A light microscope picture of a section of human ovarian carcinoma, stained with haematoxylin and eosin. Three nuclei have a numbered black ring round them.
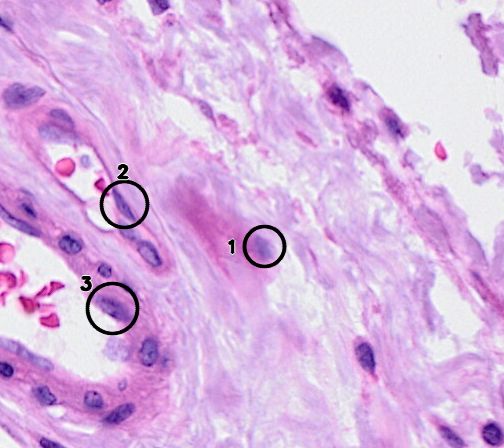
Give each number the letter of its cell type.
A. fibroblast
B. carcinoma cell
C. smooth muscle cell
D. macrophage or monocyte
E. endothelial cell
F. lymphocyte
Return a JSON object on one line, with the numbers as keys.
{"1": "C", "2": "E", "3": "E"}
